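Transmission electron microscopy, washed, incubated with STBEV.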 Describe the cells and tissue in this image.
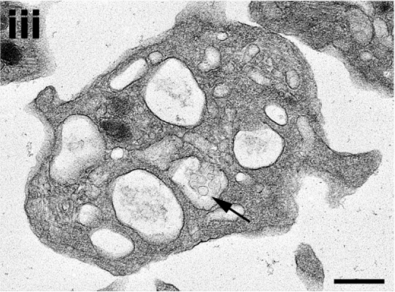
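A single platelet is shown at high magnification with an irregular outline and short processes. Its cytoplasm contains several large, pale, rounded vacuoles with faint flocculent content. Among them lies a cluster of small membrane-bound vesicles inside the cell. Dark granules are scarce in this cell.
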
